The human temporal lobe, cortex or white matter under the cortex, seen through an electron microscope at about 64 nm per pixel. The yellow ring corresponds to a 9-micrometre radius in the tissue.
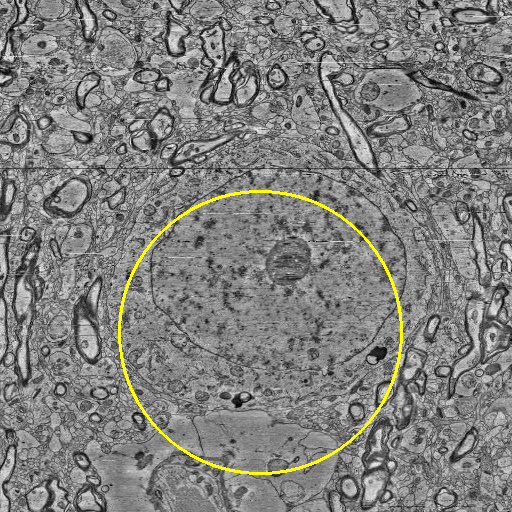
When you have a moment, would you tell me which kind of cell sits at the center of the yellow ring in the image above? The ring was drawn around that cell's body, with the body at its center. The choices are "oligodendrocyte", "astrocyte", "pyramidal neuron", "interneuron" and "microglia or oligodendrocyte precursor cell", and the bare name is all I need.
pyramidal neuron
